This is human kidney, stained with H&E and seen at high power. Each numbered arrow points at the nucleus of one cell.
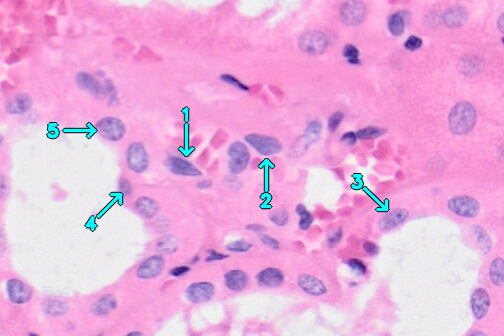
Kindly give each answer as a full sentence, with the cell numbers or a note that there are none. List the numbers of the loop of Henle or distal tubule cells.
Identified as loop of Henle or distal tubule cells are the cells numbered 3, 4 and 5.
